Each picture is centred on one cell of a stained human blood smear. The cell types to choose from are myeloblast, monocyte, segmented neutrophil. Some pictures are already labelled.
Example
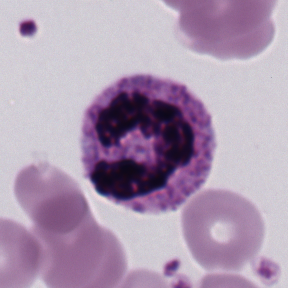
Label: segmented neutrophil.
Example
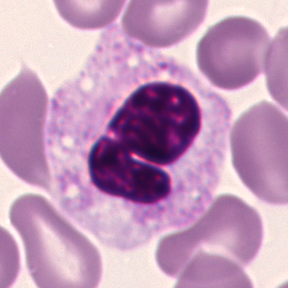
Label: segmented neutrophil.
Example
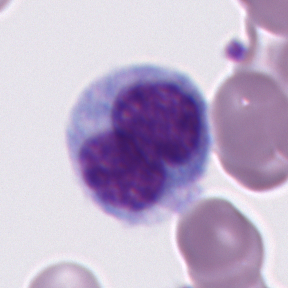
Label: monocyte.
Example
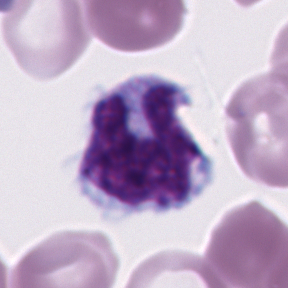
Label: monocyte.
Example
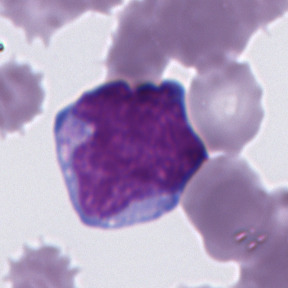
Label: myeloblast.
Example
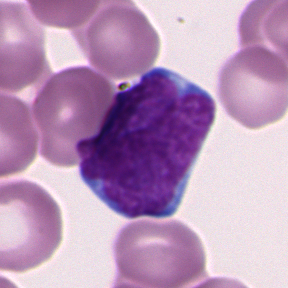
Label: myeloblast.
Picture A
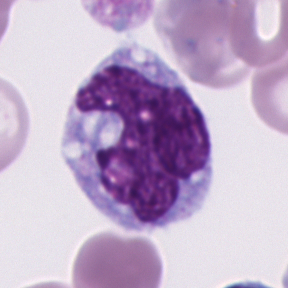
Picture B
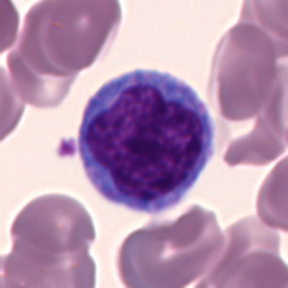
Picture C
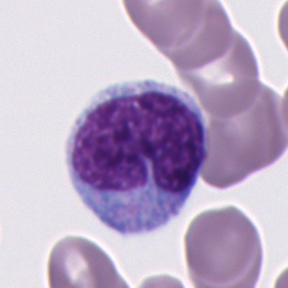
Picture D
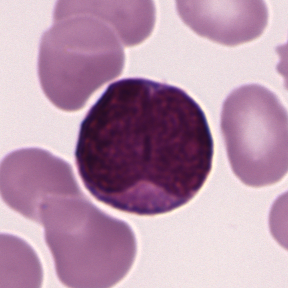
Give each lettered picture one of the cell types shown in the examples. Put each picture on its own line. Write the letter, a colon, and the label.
A: monocyte.
B: monocyte.
C: monocyte.
D: myeloblast.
